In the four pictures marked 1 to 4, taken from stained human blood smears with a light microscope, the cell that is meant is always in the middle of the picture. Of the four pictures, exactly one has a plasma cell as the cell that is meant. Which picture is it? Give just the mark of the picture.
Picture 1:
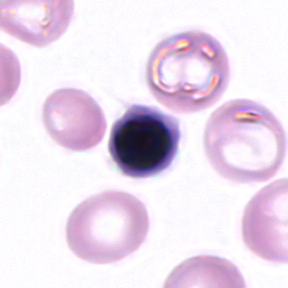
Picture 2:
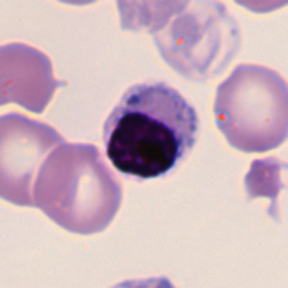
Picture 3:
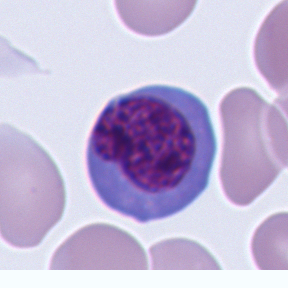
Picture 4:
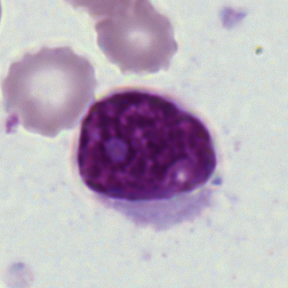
4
